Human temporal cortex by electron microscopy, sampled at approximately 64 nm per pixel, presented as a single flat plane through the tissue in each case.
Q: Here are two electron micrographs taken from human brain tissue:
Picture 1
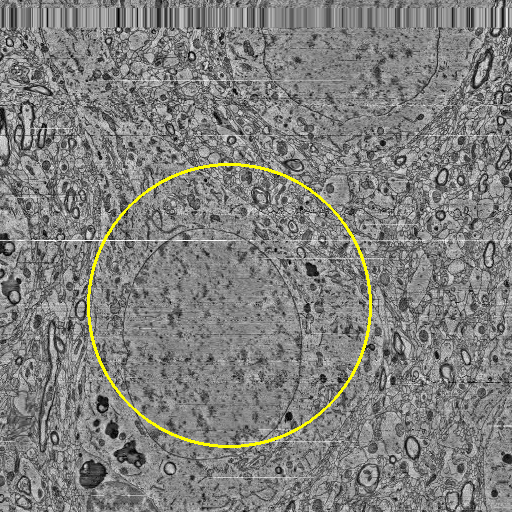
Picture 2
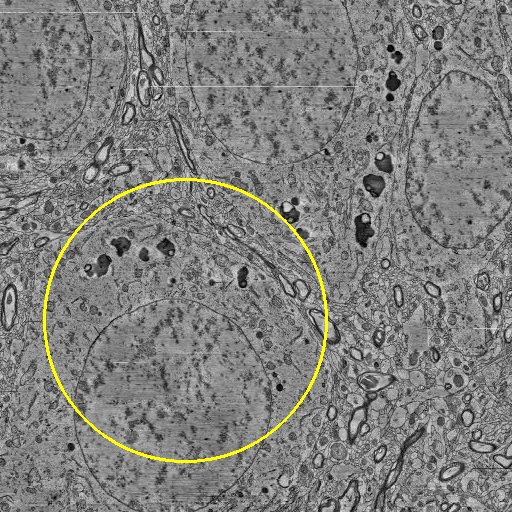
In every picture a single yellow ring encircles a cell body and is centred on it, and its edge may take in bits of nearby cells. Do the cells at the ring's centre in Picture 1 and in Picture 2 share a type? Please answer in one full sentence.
Yes, the cells at the ring's centre in Picture 1 and Picture 2 share a type.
